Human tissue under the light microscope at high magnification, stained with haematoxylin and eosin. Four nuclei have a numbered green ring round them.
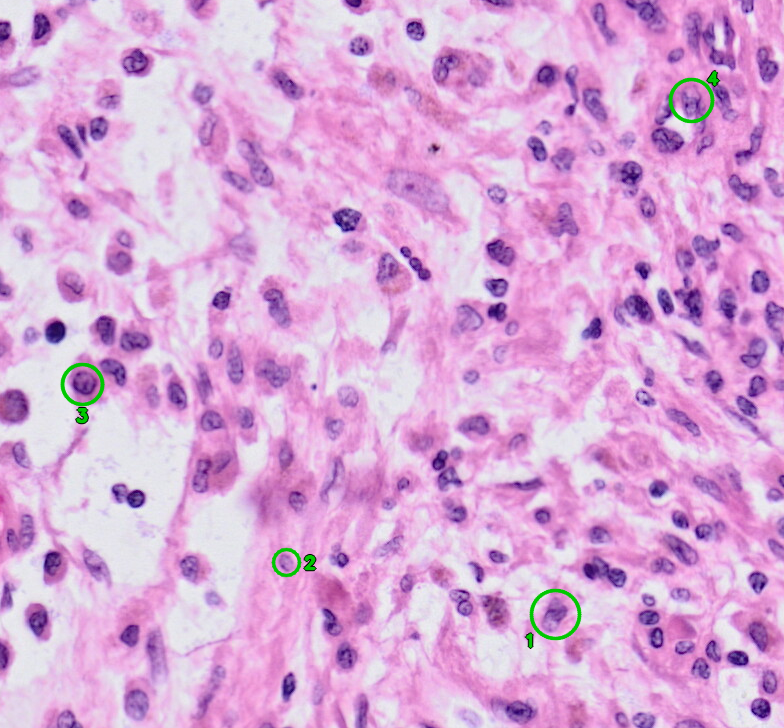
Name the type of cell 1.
macrophage or monocyte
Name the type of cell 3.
macrophage or monocyte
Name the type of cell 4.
endothelial cell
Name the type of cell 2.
macrophage or monocyte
